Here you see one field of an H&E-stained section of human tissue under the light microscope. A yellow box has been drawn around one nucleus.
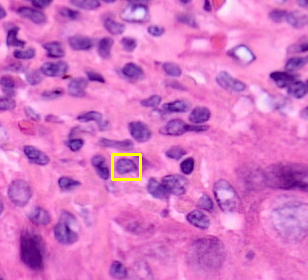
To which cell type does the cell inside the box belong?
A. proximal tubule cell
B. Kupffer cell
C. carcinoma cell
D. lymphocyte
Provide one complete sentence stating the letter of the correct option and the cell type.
Of all the options, D is right, since the cell inside the box is a lymphocyte.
